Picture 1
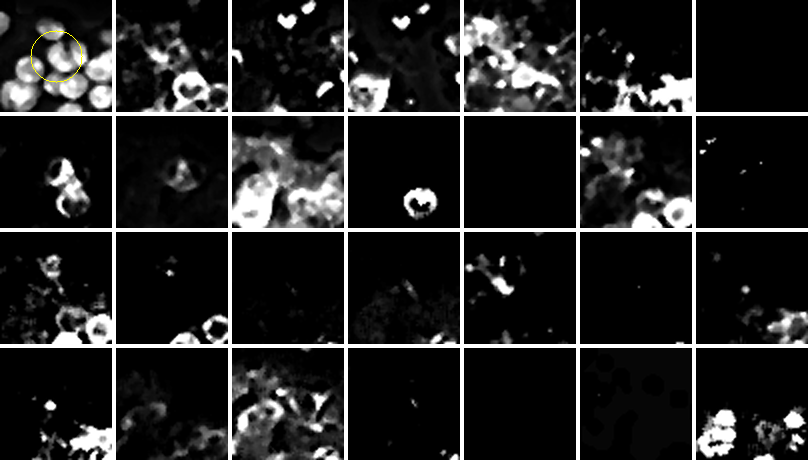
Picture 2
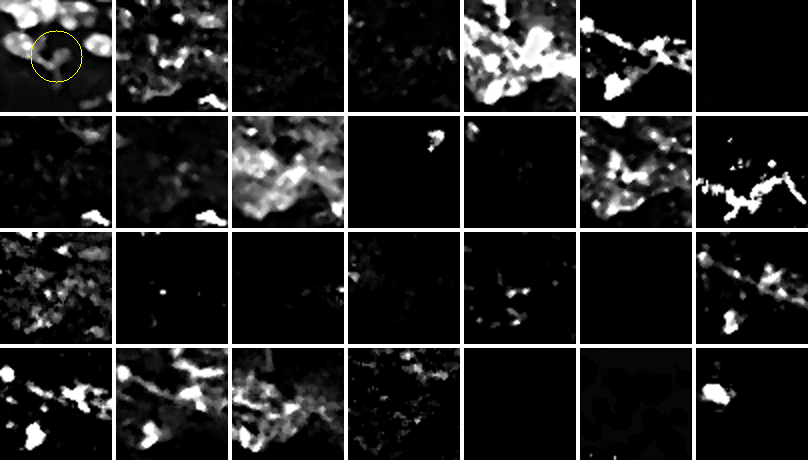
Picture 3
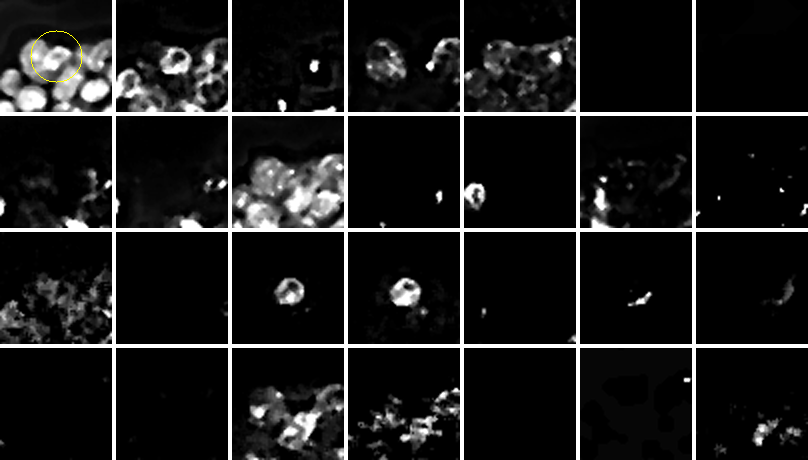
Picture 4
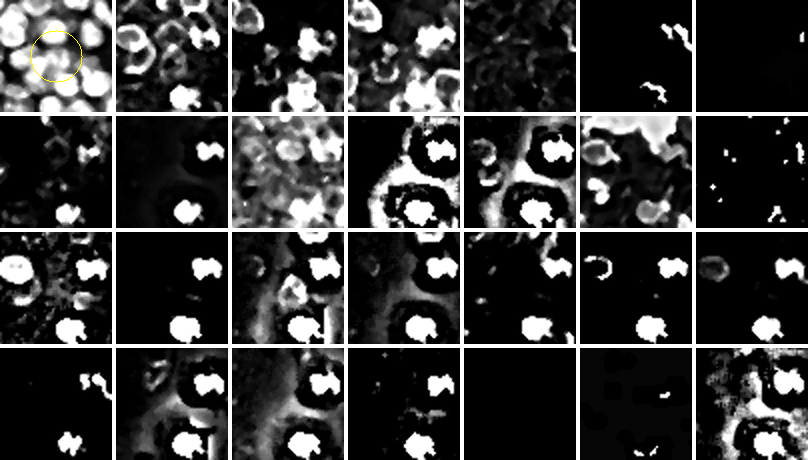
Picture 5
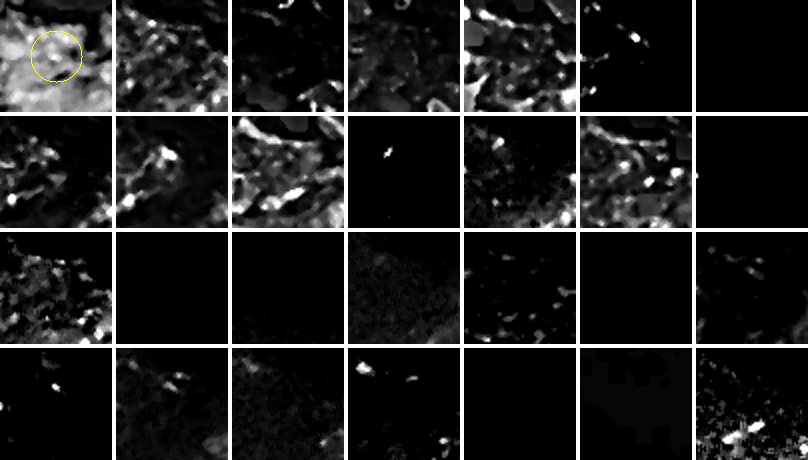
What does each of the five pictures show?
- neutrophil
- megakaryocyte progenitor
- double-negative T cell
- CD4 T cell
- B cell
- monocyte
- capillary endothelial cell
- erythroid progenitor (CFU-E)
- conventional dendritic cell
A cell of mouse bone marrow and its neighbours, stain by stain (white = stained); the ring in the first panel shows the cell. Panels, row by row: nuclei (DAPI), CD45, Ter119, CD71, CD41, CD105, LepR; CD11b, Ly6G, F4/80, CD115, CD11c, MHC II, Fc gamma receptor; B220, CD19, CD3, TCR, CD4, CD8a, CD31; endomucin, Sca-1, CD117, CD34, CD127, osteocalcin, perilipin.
Picture 1: megakaryocyte progenitor
Picture 2: megakaryocyte progenitor
Picture 3: double-negative T cell
Picture 4: erythroid progenitor (CFU-E)
Picture 5: neutrophil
